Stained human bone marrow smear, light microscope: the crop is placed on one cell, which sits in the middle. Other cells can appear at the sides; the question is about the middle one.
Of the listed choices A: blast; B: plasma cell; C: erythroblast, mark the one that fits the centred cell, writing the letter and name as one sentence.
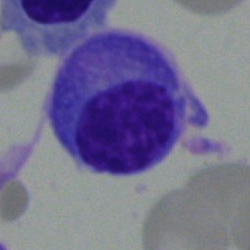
The cell in the center of this crop is a plasma cell, so option B is the one to pick.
